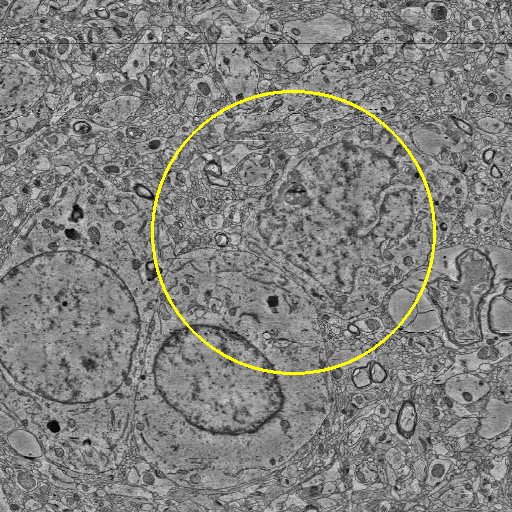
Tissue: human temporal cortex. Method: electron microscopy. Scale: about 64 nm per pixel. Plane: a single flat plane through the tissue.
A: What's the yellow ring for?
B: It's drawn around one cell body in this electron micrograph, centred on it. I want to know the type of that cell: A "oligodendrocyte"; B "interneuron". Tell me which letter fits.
B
